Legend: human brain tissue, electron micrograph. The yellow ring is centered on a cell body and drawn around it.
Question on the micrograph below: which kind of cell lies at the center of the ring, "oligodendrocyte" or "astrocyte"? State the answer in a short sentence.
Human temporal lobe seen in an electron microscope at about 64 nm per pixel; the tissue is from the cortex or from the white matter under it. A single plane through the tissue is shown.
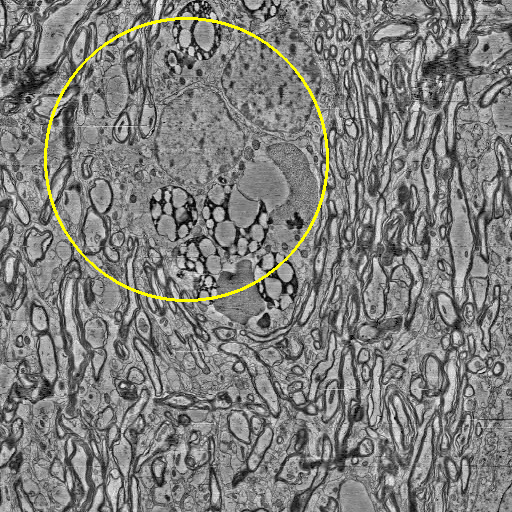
At the center of the ring lies an astrocyte.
